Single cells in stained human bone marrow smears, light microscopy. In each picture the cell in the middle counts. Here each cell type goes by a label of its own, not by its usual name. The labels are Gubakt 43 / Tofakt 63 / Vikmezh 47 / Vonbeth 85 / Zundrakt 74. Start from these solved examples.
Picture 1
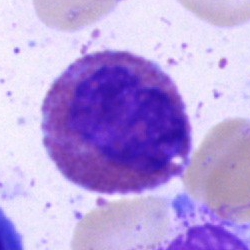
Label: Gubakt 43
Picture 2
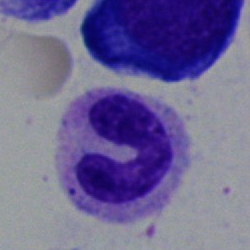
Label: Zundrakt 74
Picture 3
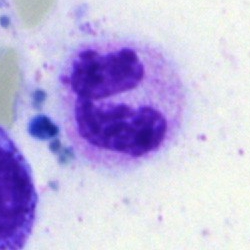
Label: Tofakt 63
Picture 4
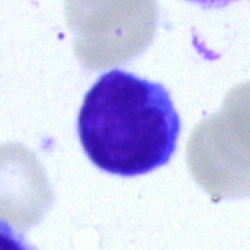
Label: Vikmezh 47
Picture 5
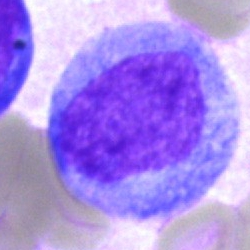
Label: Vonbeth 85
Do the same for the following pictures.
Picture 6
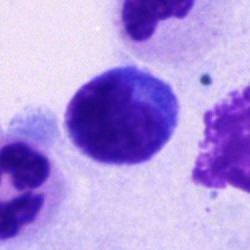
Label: Vikmezh 47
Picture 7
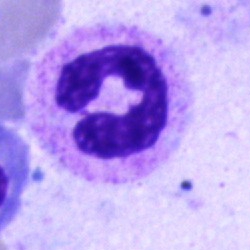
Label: Tofakt 63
